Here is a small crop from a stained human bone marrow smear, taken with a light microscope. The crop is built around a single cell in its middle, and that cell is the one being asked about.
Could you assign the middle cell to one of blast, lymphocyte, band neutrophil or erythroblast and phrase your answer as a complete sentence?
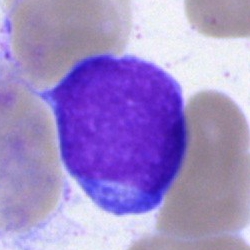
The central cell in this smear crop is a blast.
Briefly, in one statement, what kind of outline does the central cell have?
The boundary of the cell runs irregularly, ragged in parts or drawn into projections.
